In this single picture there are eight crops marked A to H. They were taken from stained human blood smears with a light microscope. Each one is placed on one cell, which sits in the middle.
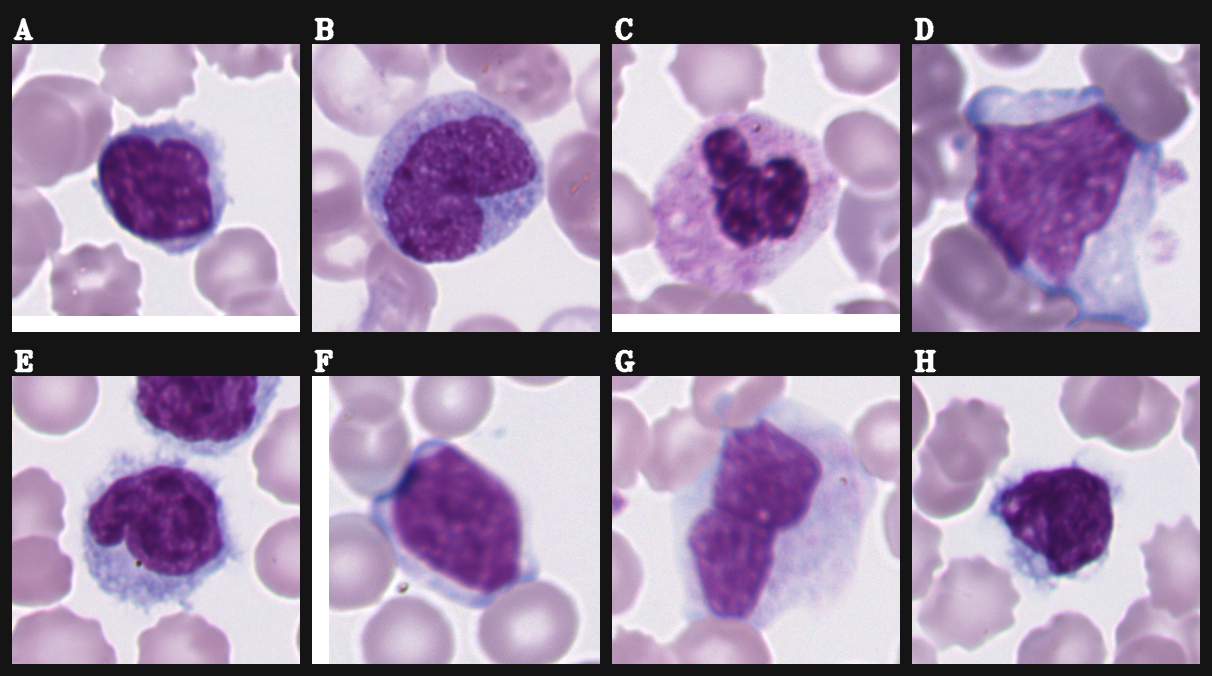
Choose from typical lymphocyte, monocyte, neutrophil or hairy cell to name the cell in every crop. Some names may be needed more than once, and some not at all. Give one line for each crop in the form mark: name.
A: hairy cell
B: monocyte
C: neutrophil
D: monocyte
E: hairy cell
F: typical lymphocyte
G: monocyte
H: hairy cell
